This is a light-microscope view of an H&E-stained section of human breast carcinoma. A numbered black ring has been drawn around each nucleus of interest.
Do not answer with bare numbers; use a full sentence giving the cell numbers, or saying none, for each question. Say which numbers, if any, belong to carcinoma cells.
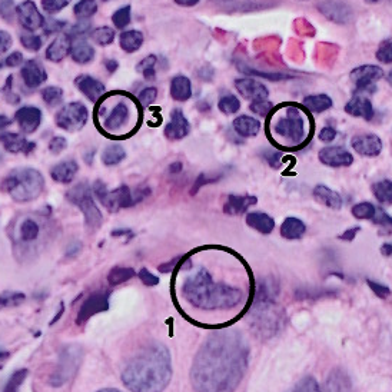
Only cell 1 qualifies as a carcinoma cell among the numbered cells.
